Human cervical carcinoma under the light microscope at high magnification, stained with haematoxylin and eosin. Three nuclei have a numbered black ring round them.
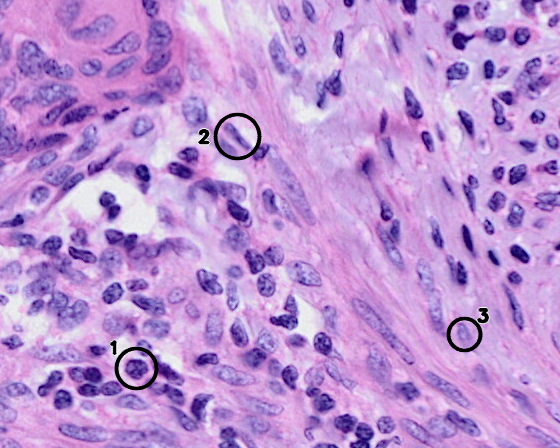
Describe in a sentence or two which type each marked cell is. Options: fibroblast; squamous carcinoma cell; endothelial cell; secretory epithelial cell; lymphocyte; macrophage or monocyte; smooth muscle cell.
Cells 1 and 2 are lymphocytes. Cell 3 is a smooth muscle cell.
